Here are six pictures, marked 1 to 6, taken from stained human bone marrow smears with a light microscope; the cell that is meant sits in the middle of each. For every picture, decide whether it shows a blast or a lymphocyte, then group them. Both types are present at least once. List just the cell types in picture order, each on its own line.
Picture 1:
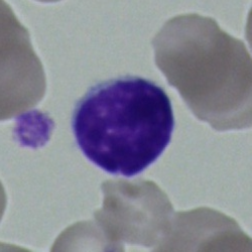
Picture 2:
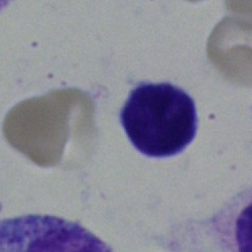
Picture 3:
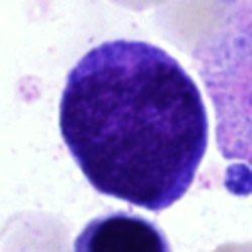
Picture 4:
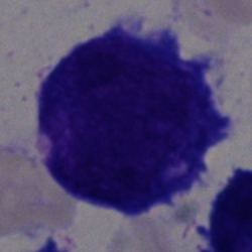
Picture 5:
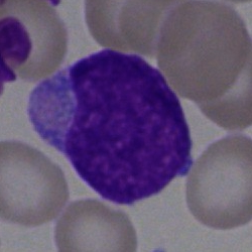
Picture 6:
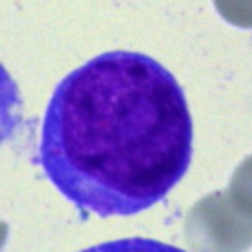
lymphocyte
lymphocyte
blast
blast
blast
blast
